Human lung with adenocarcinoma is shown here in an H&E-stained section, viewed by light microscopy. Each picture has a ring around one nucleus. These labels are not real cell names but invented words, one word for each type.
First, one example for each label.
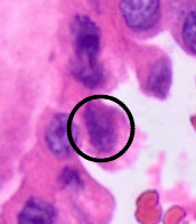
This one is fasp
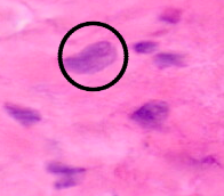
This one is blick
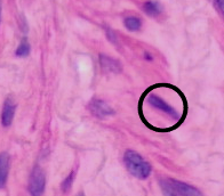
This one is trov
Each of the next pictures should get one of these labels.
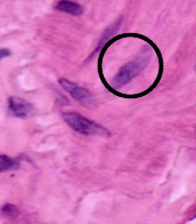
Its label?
trov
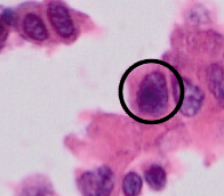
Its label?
fasp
